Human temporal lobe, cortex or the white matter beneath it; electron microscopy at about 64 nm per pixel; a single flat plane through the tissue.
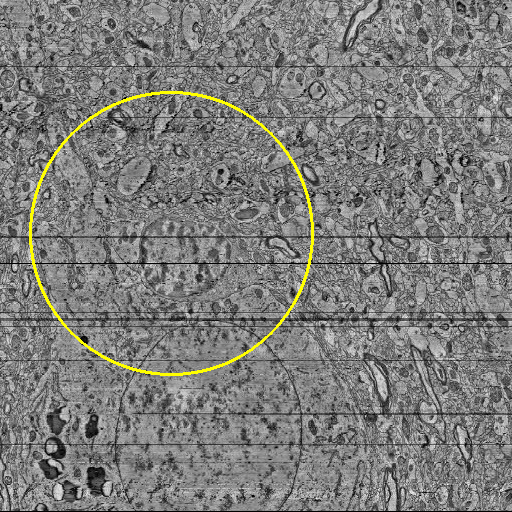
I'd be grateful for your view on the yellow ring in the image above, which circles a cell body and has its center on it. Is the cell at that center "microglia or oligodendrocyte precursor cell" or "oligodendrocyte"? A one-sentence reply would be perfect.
The cell at the center of the yellow ring is an oligodendrocyte.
